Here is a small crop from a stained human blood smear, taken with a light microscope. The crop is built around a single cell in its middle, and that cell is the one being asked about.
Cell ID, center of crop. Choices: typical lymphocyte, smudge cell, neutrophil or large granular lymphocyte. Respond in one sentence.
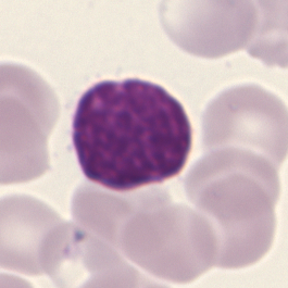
What sits at the centre of this crop is a smudge cell.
